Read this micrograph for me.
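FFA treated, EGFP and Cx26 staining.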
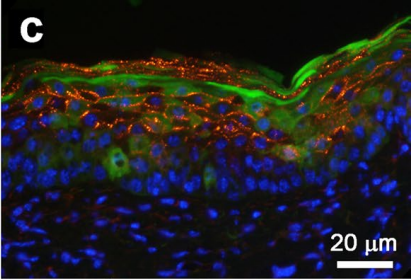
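This section shows epidermis with several layers of keratinocytes, their nuclei blue, above a looser tissue with scattered nuclei. In the upper cell layers fine red dots outline the cell borders in a punctate, net-like pattern. Some of these cells have faint green cytoplasm, and a bright green band without nuclei runs along the surface. The lower layers of the epithelium show mainly blue nuclei with little red or green.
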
